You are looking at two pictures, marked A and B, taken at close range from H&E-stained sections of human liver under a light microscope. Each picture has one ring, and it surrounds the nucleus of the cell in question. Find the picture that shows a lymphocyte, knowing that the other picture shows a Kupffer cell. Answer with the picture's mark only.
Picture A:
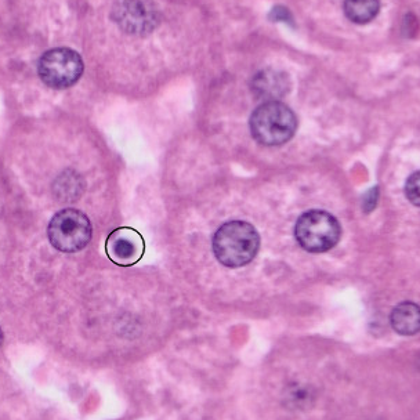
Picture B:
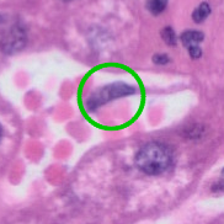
A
